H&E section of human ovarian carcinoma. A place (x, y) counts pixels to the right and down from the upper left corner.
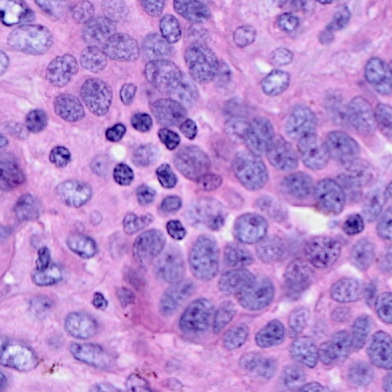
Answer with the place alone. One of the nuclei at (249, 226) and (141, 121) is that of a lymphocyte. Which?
(141, 121)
